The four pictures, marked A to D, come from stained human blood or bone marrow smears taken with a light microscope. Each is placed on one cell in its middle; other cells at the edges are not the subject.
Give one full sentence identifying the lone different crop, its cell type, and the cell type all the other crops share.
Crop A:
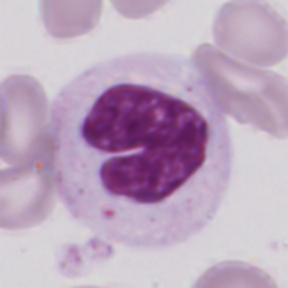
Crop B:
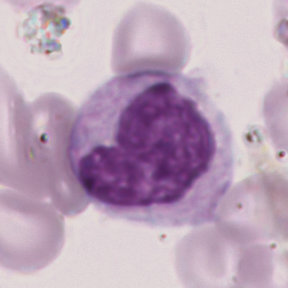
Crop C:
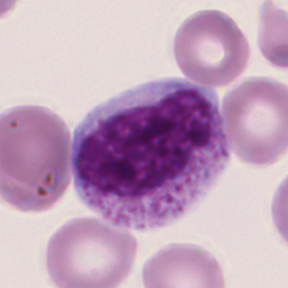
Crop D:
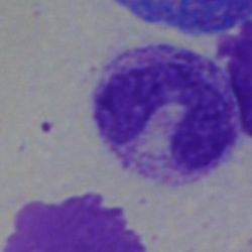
Crop C is a metamyelocyte, the one exception to the band neutrophils of the other crops.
